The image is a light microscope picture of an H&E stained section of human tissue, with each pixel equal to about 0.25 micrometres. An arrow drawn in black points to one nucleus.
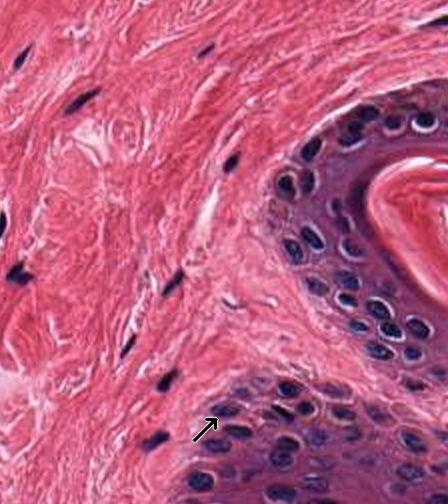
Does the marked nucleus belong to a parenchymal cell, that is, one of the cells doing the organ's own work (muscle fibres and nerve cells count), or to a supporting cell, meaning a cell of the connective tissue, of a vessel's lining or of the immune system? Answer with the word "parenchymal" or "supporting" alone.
parenchymal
